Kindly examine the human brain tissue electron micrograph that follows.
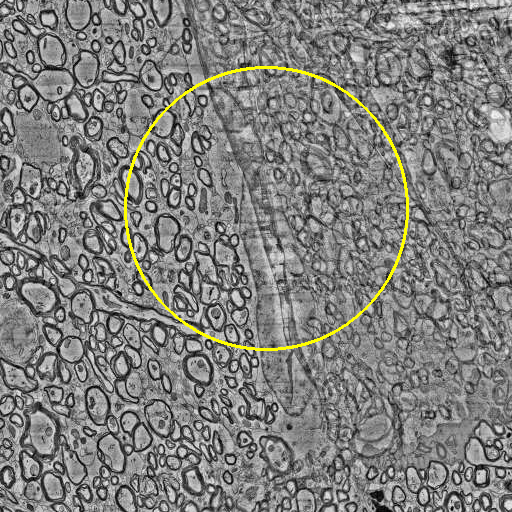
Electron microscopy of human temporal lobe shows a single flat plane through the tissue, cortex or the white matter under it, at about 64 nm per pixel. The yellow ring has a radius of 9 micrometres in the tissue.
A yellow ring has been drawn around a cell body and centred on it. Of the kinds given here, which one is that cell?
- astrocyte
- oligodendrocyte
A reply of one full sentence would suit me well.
The micrograph's ringed cell, the one at the ring's centre, is an astrocyte.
